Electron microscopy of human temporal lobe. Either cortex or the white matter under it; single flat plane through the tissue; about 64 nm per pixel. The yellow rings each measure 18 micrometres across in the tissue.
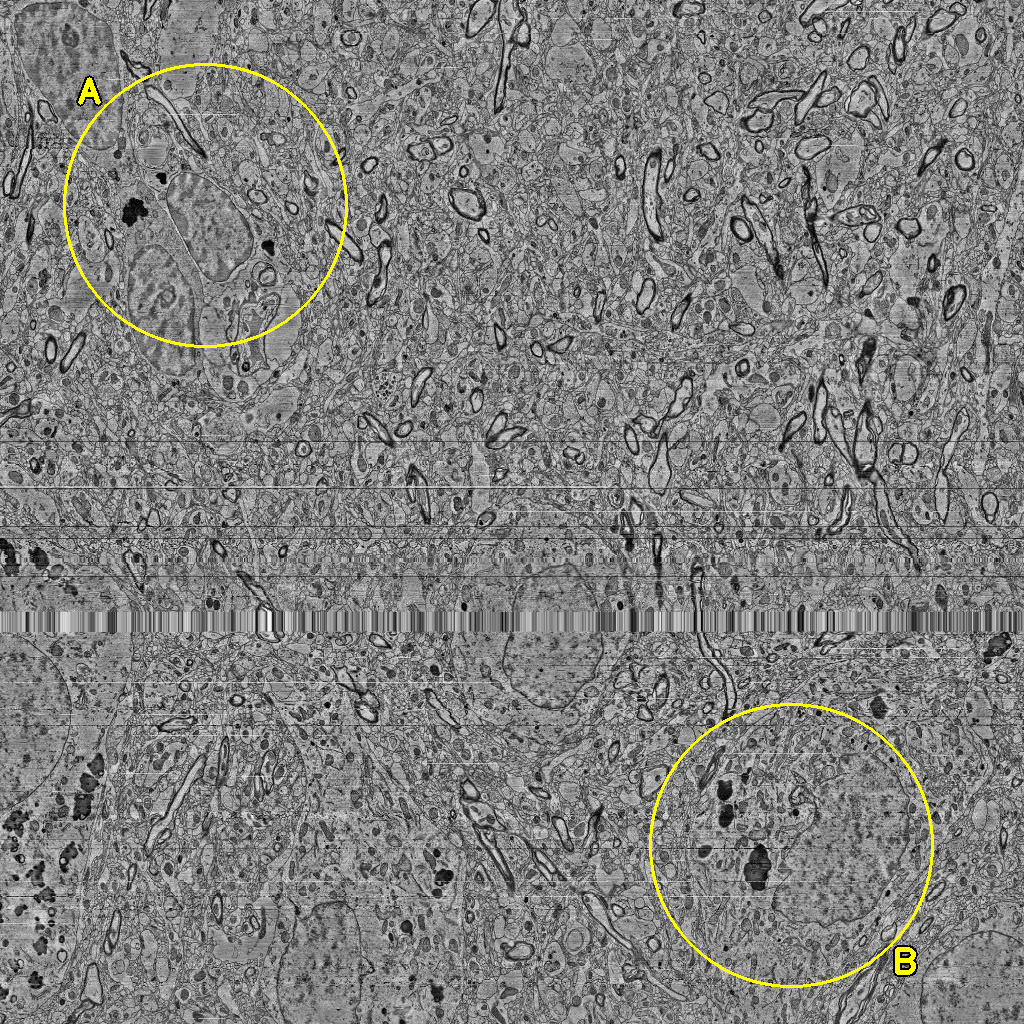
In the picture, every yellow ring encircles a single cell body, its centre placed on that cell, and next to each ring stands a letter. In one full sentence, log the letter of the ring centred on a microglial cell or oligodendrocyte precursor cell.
The ring with the requested cell at its centre bears the letter A.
